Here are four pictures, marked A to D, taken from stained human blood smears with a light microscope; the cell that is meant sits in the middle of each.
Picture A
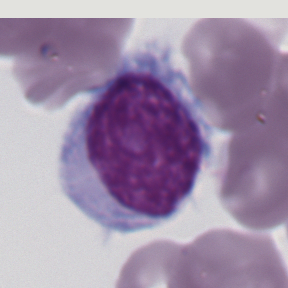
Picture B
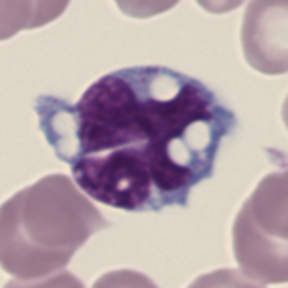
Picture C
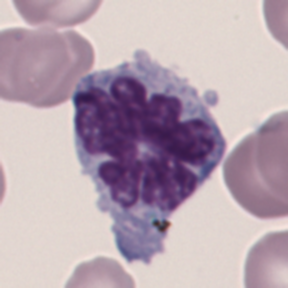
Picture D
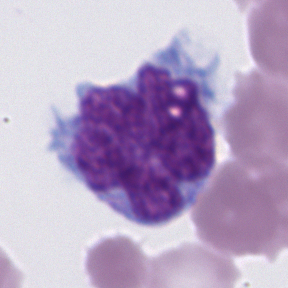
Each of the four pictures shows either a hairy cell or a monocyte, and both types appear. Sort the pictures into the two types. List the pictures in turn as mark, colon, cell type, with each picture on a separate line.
A: hairy cell
B: monocyte
C: monocyte
D: monocyte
